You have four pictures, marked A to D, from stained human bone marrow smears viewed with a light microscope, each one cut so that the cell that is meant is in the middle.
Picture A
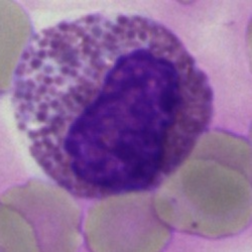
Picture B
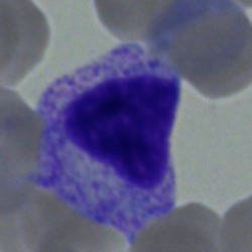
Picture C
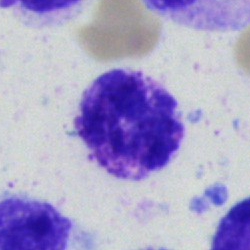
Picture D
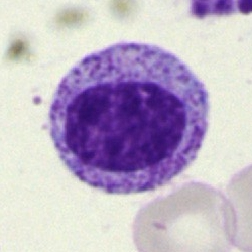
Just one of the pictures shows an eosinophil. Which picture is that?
A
